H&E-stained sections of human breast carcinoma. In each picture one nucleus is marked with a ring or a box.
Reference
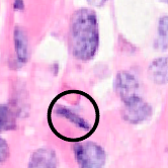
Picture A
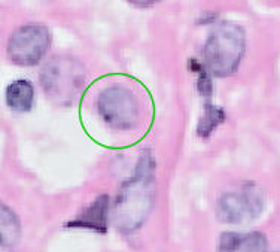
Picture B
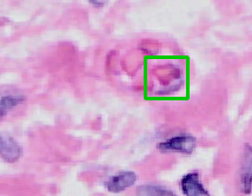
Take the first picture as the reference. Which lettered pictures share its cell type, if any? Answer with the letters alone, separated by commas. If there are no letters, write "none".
B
